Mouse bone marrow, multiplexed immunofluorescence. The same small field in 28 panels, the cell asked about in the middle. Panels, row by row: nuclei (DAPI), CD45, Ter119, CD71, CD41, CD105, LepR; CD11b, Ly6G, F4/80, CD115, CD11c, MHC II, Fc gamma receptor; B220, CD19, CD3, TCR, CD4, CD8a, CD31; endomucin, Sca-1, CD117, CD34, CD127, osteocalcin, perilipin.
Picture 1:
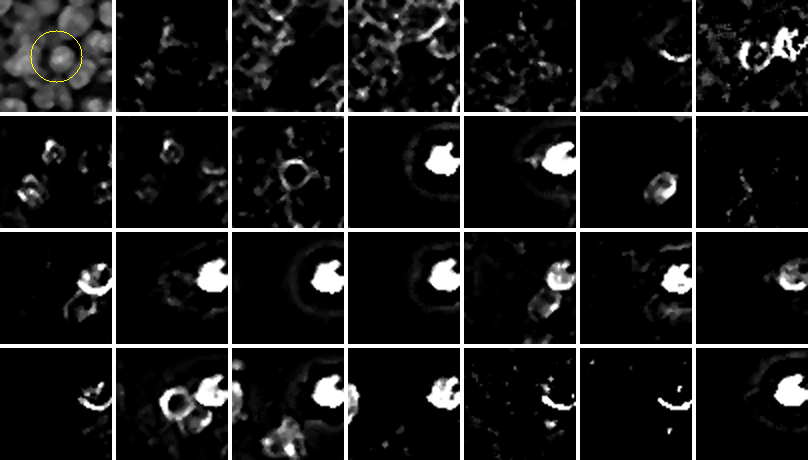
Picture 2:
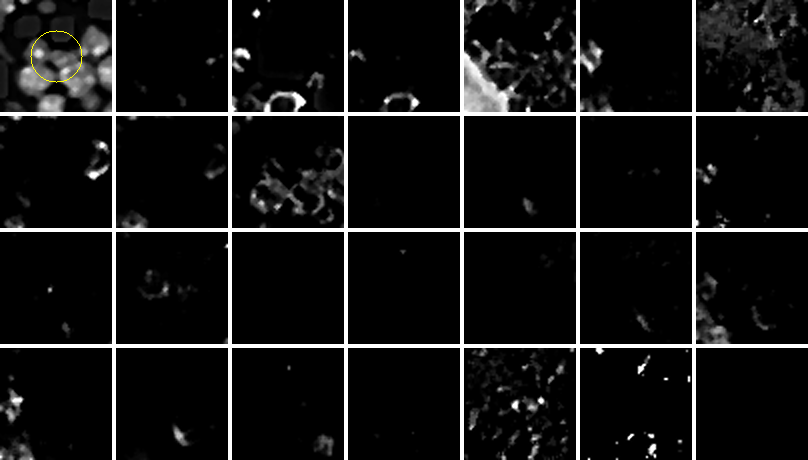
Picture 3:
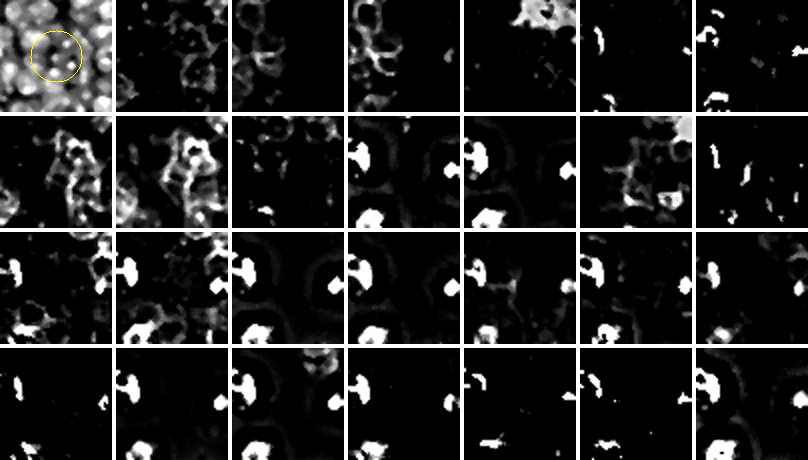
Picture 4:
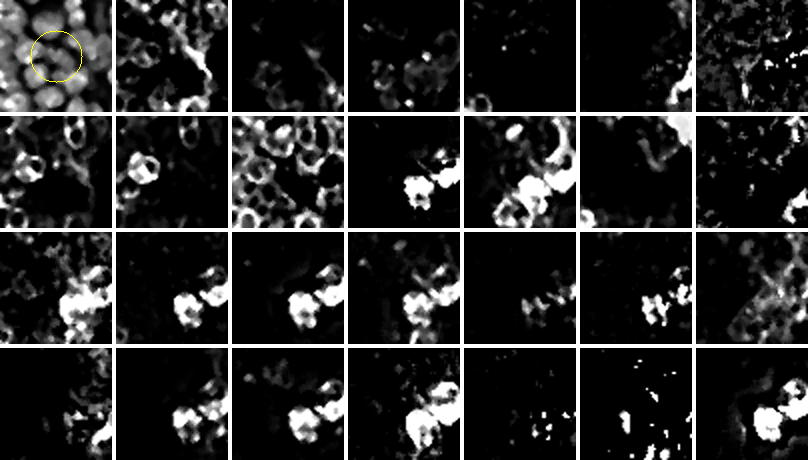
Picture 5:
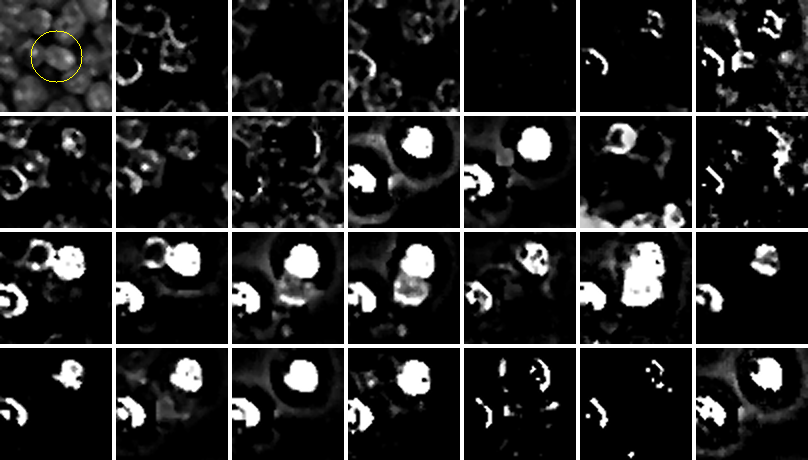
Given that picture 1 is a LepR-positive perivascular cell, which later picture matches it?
4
